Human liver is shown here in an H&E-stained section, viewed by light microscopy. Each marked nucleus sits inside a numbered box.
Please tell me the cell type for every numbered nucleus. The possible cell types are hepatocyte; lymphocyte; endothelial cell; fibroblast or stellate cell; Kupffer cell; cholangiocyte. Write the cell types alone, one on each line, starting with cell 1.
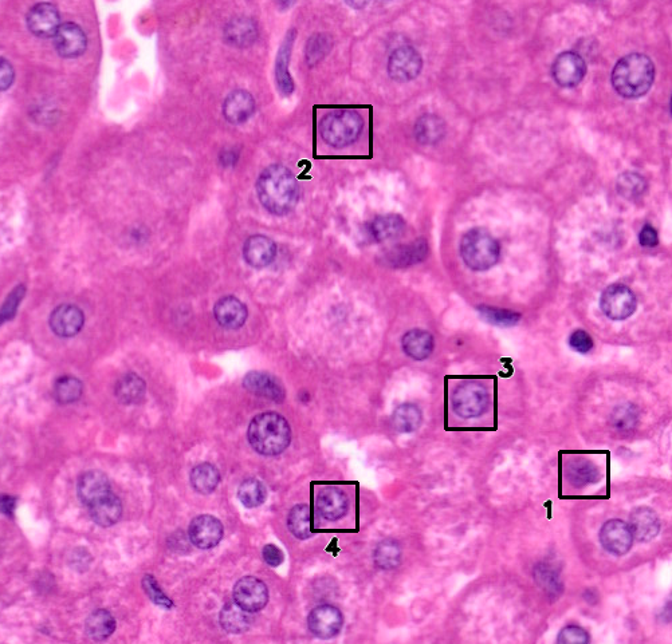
Kupffer cell
hepatocyte
hepatocyte
hepatocyte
